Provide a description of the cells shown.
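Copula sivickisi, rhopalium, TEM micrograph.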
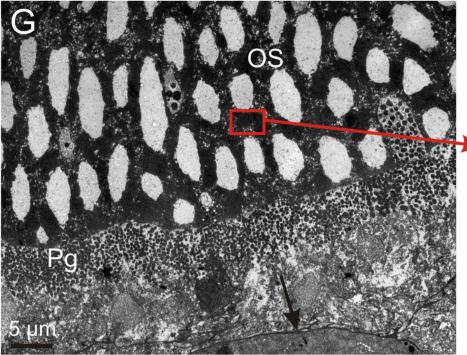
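The upper part of the field is a dark matrix filled with rows of pale, elongated oval profiles, some showing small holes, while below lies a band crowded with small dark granules. The granular band beneath is the screening pigment the photoreceptors themselves contain.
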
